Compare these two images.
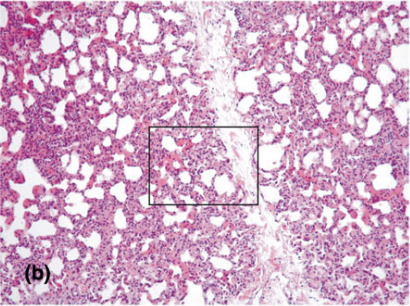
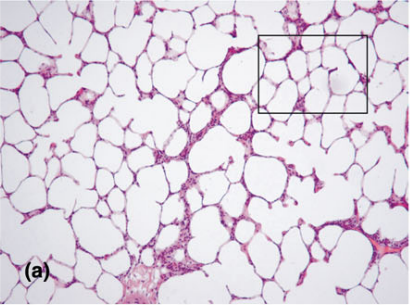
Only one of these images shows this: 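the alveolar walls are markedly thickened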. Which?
The first image.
